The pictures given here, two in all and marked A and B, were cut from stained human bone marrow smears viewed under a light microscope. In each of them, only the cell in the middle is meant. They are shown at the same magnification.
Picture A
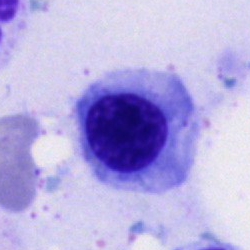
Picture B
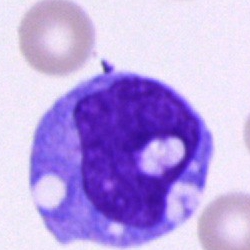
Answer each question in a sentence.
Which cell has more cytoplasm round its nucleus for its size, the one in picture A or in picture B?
The nucleus fills less of the cell in picture A than in picture B.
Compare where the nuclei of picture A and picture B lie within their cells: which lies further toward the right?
It is the nucleus in picture B that lies further toward the right of its cell.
